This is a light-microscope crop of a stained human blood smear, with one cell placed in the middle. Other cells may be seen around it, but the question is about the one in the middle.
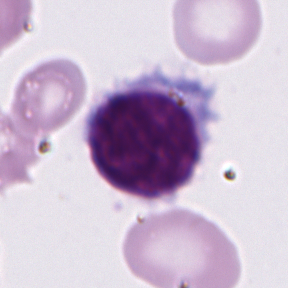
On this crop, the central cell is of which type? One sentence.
The crop's centre is taken up by a hairy cell.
